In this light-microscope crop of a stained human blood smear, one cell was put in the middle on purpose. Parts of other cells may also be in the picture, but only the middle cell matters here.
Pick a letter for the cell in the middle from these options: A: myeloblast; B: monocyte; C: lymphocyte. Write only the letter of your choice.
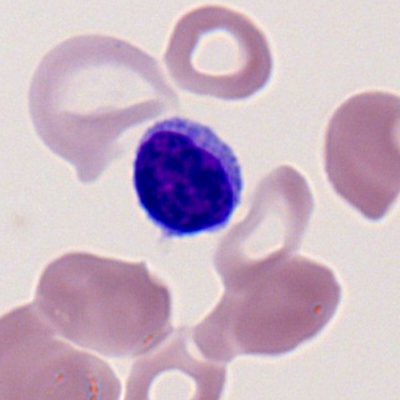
C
